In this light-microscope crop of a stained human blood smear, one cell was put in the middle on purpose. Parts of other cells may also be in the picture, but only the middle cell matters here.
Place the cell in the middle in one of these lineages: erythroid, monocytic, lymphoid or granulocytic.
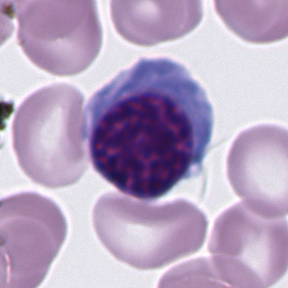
erythroid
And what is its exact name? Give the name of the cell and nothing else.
normoblast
